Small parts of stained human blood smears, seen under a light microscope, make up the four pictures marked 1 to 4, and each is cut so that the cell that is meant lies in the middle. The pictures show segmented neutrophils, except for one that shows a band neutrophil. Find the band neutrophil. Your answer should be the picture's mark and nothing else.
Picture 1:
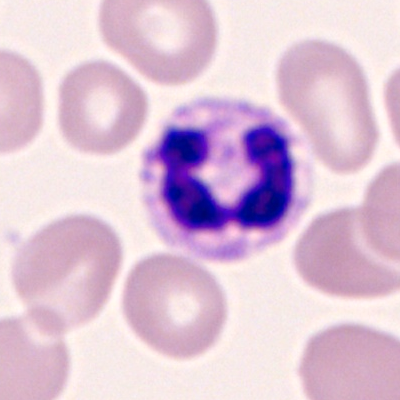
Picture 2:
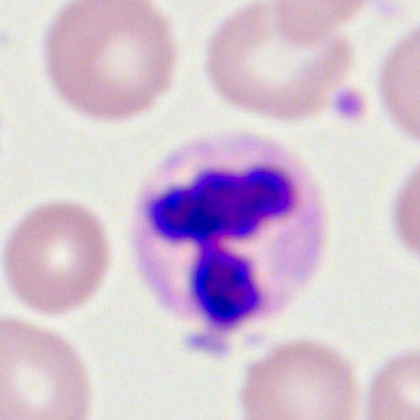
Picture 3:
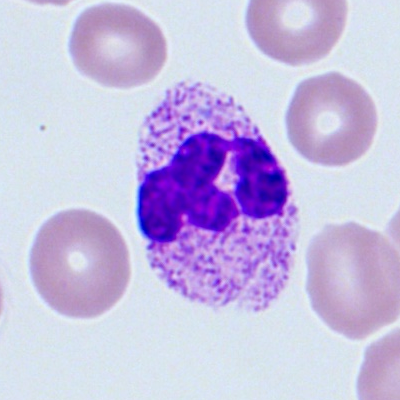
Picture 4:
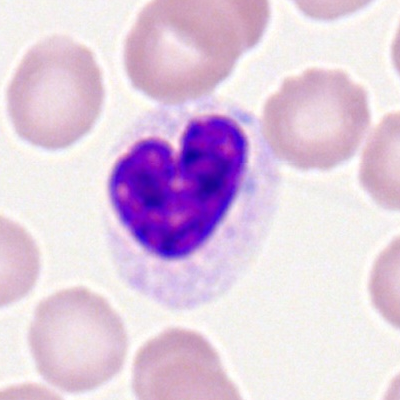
4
